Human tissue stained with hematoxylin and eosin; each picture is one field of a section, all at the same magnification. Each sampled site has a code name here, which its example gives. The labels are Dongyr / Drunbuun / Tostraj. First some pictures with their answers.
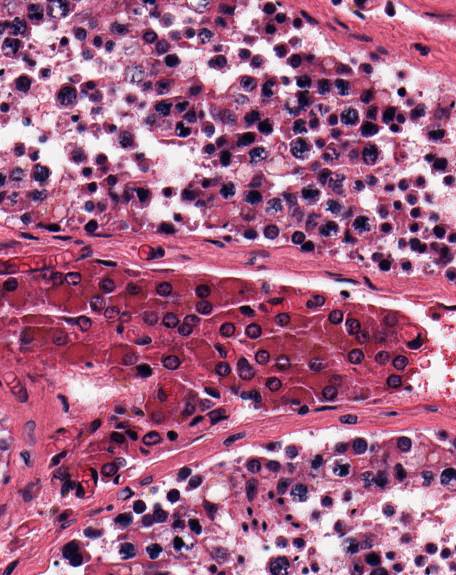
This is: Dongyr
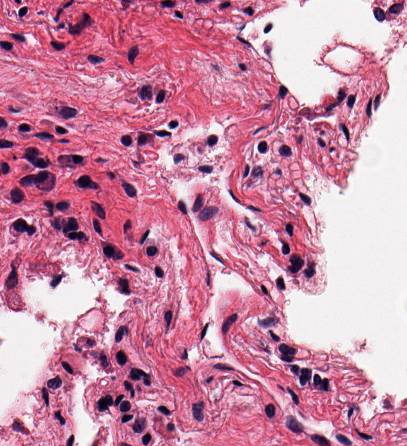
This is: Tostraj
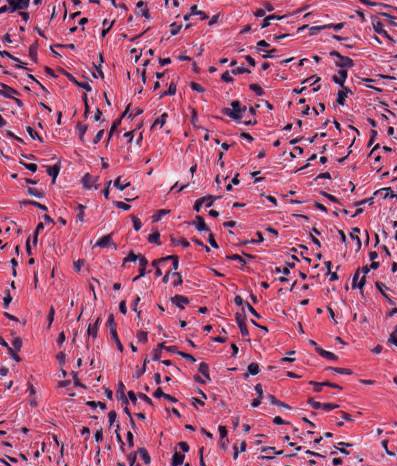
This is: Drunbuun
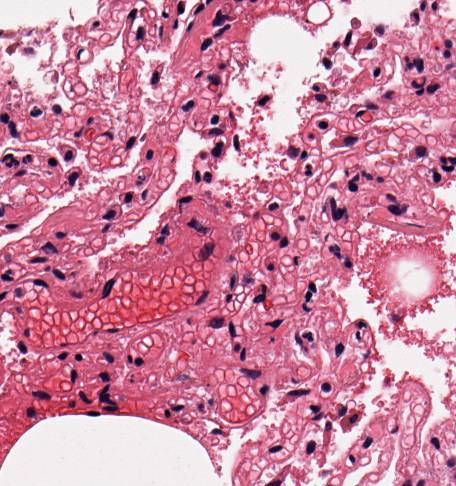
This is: Tostraj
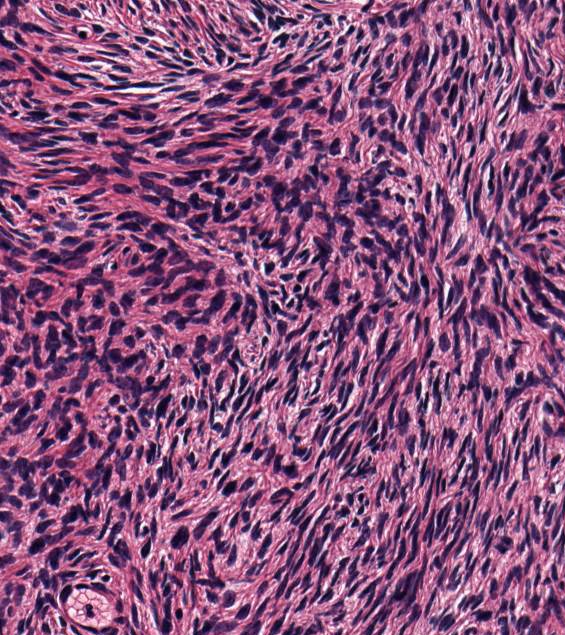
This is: Drunbuun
